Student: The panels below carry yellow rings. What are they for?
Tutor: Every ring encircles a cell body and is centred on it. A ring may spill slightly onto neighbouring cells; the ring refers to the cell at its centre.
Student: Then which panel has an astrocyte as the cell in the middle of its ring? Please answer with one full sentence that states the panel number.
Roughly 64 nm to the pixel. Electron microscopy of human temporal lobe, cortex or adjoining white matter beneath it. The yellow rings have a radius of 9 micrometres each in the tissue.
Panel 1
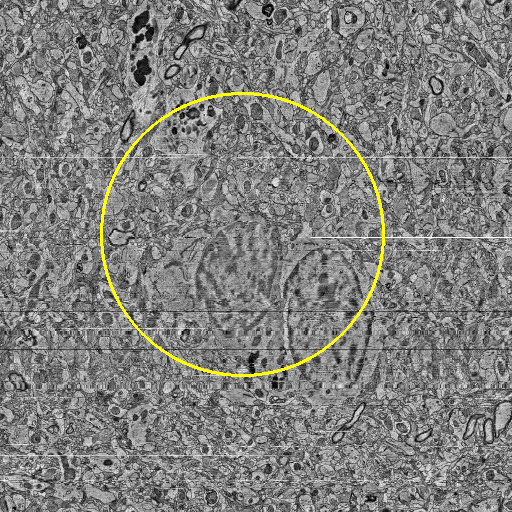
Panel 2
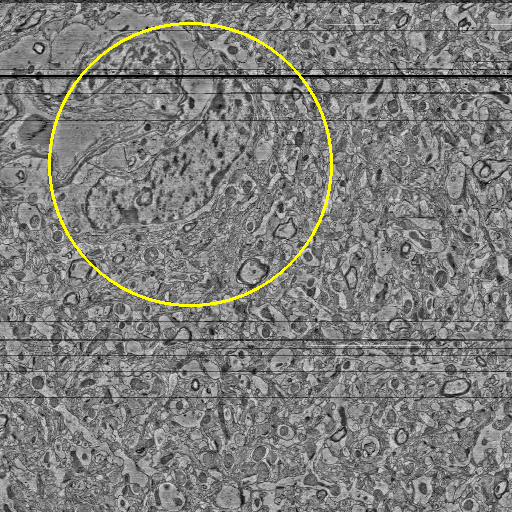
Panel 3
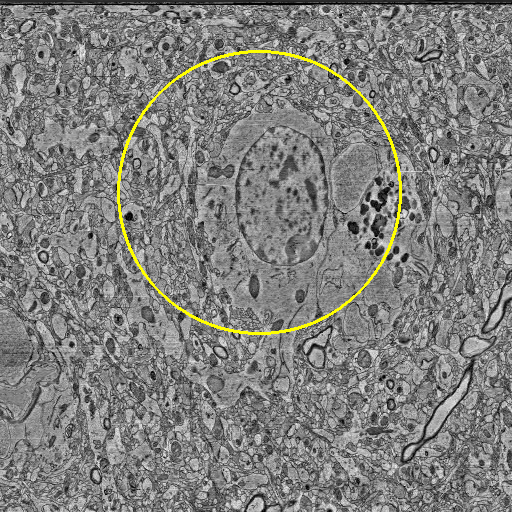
In Panel 3, the cell centred in the ring is the one sought.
